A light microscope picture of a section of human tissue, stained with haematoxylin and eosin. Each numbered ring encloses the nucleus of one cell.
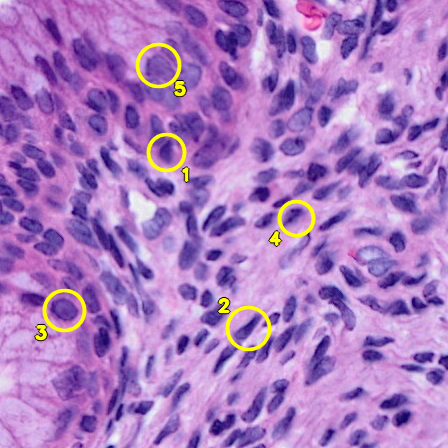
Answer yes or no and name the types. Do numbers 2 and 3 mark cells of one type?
No, cell 2 is a fibroblast and cell 3 is a secretory epithelial cell.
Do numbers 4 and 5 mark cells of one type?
No, cell 4 is a fibroblast and cell 5 is a secretory epithelial cell.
